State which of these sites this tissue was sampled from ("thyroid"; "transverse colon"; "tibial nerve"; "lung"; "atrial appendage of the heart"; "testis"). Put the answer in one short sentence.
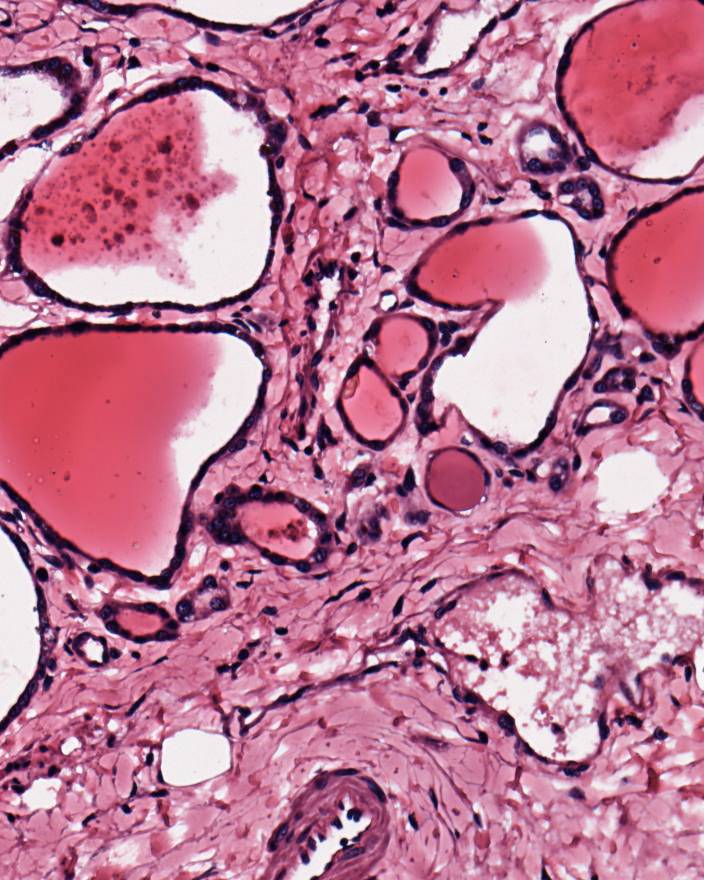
The site this tissue was sampled from is the thyroid.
